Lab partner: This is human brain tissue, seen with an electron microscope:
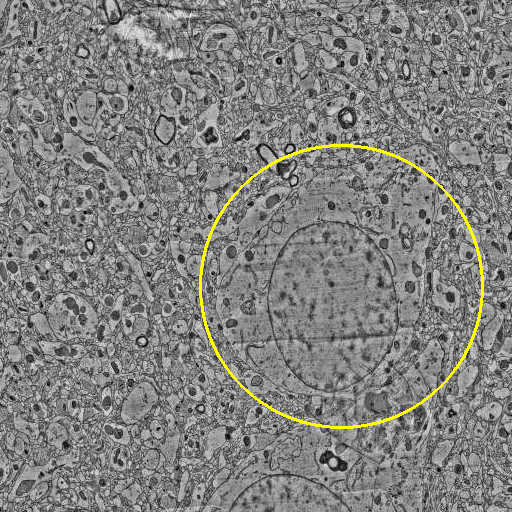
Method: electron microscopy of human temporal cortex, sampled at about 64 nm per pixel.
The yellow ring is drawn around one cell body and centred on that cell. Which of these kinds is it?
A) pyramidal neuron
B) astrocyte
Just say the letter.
A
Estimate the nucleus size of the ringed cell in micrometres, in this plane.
In this plane, the nucleus of the cell at the centre of the ring measures about 11 by 8 micrometres.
